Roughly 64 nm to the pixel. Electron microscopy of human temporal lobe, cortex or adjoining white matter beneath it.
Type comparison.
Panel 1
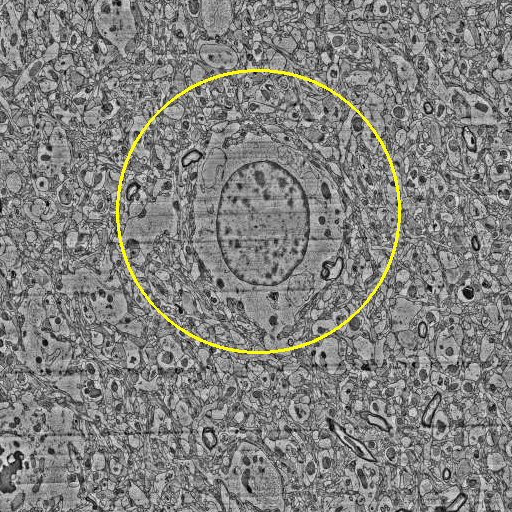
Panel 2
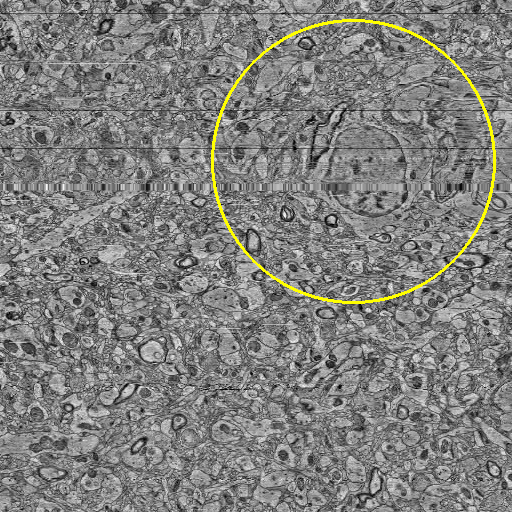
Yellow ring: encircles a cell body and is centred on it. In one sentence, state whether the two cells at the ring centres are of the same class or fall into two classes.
In these panels, the two cells at the ring centres fall into two classes.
